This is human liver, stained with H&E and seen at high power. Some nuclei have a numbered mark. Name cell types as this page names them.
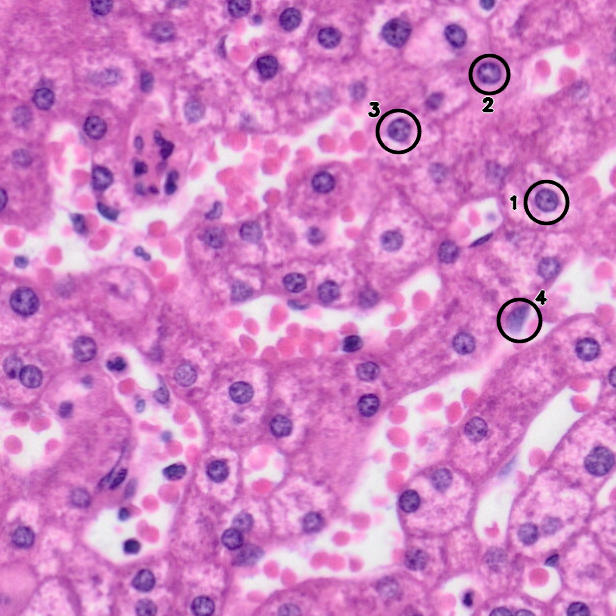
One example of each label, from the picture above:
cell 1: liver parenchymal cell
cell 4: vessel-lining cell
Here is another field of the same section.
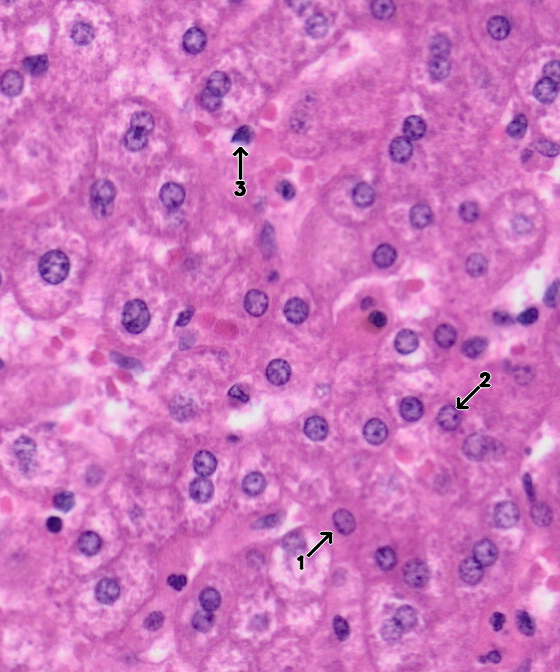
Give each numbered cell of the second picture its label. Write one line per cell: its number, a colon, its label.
1: liver parenchymal cell
2: liver parenchymal cell
3: vessel-lining cell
